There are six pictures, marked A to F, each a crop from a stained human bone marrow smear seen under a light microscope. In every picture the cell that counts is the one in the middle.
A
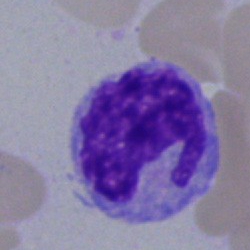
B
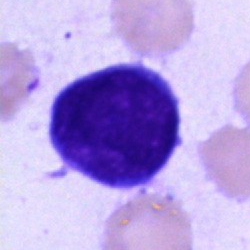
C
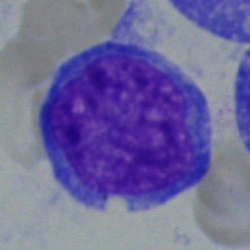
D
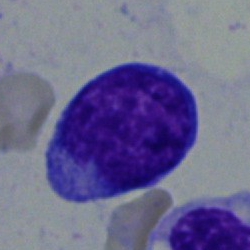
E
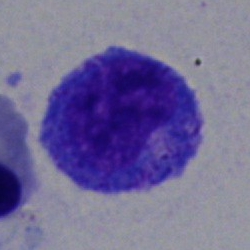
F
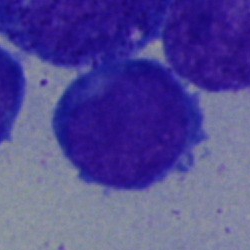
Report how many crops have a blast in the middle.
4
